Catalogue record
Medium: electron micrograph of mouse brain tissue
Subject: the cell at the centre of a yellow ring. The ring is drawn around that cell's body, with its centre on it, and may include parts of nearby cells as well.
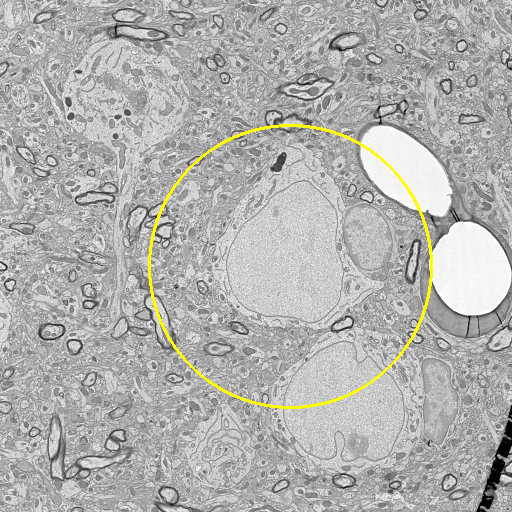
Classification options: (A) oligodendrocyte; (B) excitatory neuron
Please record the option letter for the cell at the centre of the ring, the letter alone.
B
